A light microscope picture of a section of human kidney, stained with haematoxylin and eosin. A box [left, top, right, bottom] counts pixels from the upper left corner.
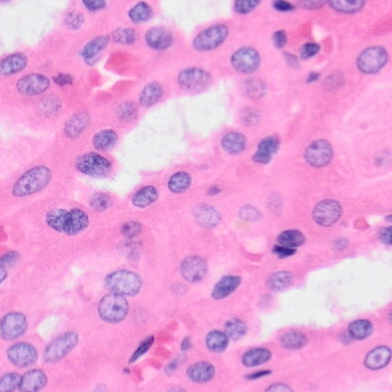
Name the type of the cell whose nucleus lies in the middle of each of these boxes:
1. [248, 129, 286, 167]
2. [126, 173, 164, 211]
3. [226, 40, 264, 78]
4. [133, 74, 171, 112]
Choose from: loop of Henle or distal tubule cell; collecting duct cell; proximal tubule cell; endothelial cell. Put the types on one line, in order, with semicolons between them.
endothelial cell; loop of Henle or distal tubule cell; loop of Henle or distal tubule cell; loop of Henle or distal tubule cell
